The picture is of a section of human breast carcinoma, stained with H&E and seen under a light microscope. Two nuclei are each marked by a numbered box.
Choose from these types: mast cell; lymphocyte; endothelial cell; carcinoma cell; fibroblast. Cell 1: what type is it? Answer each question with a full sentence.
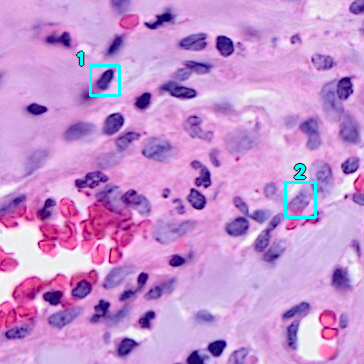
The cell that bears the number 1 is a lymphocyte.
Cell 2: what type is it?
Cell 2 should be recorded as an endothelial cell.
